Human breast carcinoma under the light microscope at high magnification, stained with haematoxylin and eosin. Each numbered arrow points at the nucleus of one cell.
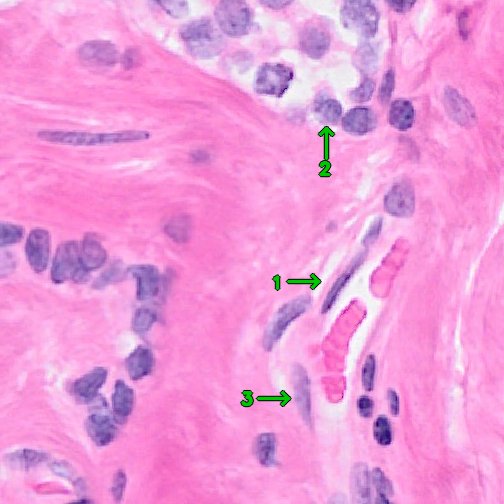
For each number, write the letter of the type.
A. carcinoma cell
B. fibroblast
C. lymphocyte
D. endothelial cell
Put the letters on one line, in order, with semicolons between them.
D; A; D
